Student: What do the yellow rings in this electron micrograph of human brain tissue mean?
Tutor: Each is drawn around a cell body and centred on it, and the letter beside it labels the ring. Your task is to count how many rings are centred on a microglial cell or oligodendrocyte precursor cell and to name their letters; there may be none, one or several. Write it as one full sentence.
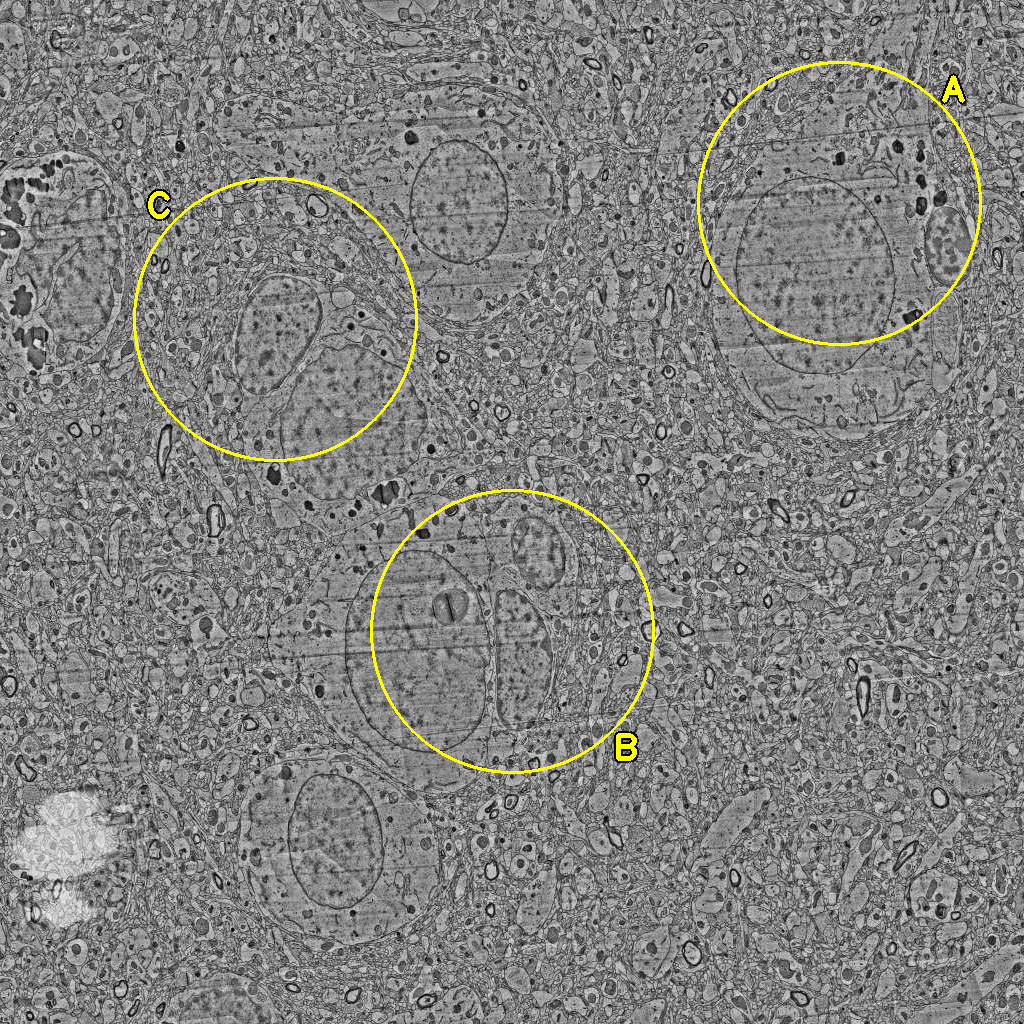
Of all the rings, two are each centred on a microglial cell or oligodendrocyte precursor cell, and these carry the letters B and C.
